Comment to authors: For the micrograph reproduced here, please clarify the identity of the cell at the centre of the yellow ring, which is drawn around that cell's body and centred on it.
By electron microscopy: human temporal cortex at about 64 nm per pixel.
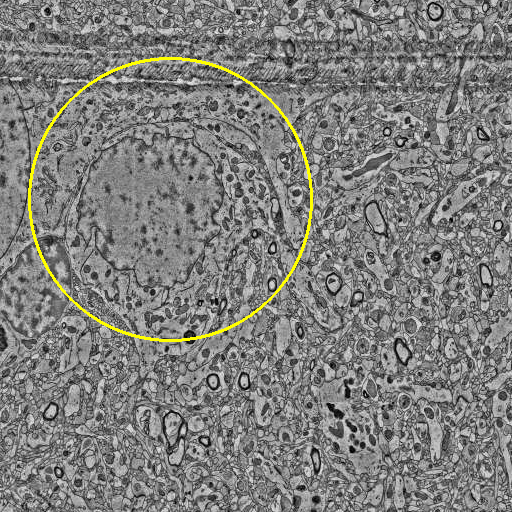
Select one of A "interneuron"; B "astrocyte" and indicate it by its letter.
A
